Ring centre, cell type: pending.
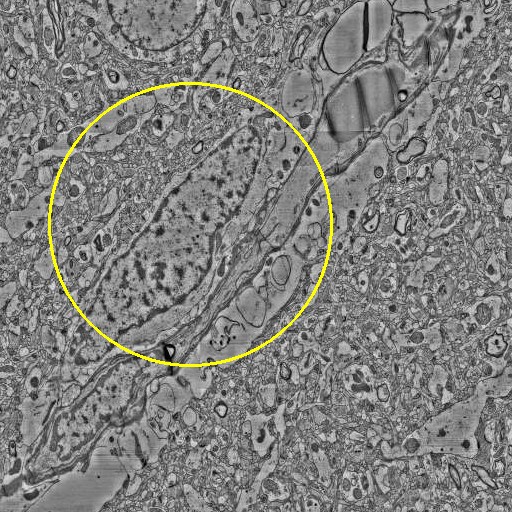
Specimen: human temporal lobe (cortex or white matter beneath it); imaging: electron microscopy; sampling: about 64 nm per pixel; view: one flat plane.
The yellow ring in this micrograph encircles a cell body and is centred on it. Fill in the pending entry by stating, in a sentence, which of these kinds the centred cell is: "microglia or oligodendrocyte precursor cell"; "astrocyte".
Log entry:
The centred cell is recorded as a microglial cell or oligodendrocyte precursor cell.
